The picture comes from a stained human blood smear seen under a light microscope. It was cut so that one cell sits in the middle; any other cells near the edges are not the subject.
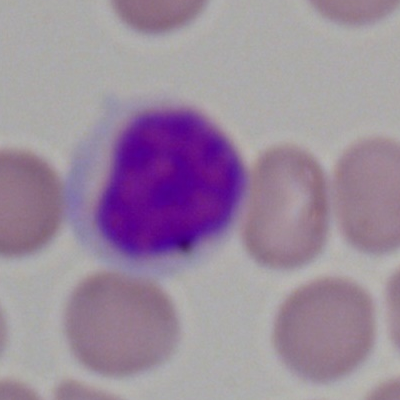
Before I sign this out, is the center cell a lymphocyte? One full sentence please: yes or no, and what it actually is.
Yes, the cell found in the middle is a lymphocyte.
